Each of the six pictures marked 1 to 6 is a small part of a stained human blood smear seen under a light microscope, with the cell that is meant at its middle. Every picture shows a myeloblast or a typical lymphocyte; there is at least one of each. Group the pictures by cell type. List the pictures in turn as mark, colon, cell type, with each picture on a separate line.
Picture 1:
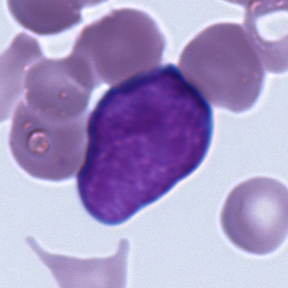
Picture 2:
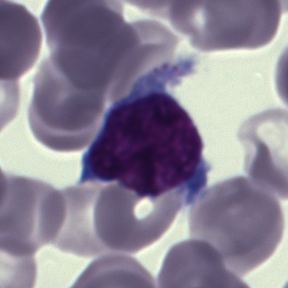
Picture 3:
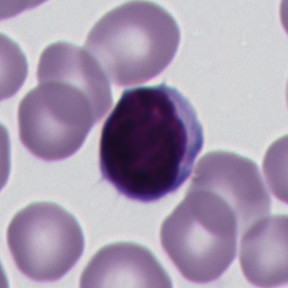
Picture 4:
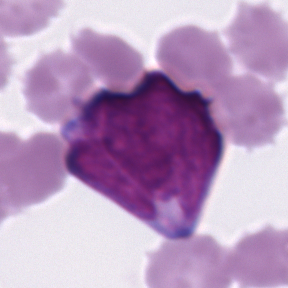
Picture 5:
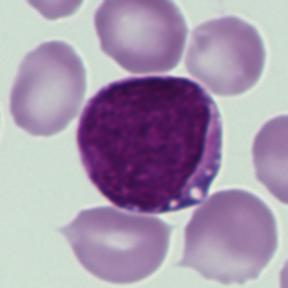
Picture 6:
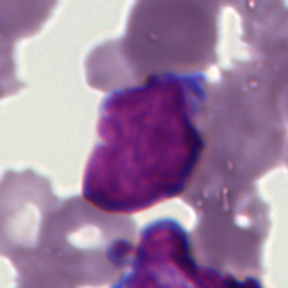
1: myeloblast
2: typical lymphocyte
3: typical lymphocyte
4: myeloblast
5: myeloblast
6: myeloblast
